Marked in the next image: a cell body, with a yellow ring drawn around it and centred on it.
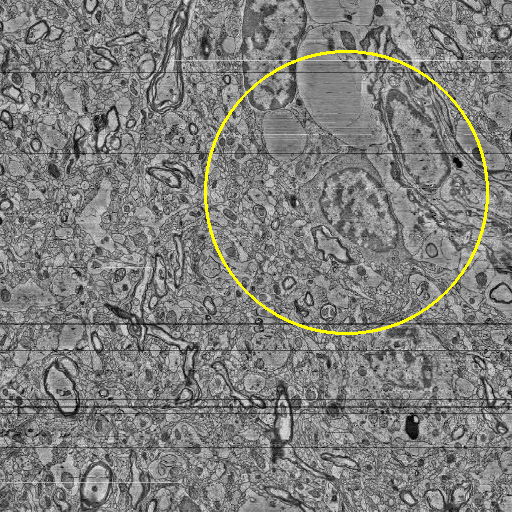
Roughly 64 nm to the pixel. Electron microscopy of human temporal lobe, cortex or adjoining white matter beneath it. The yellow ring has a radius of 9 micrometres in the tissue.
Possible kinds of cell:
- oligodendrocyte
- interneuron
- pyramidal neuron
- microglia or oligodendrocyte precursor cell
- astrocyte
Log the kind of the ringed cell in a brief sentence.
The ringed cell body is that of an oligodendrocyte.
